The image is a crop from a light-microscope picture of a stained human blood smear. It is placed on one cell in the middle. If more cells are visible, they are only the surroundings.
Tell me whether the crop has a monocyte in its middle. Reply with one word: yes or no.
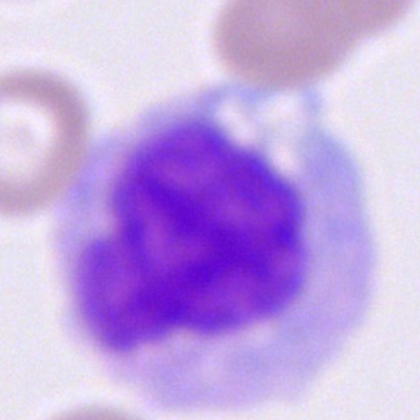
yes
